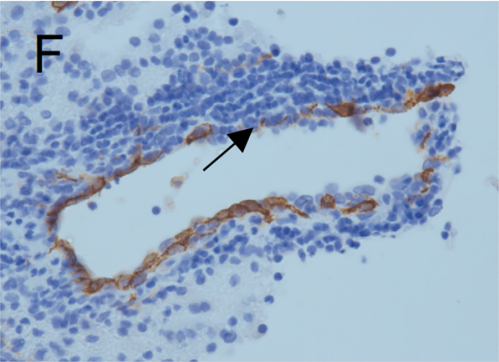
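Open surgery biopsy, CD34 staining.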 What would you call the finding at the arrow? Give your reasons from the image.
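Many small blue nuclei surround the vessel. So: thin and fragmented endothelia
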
